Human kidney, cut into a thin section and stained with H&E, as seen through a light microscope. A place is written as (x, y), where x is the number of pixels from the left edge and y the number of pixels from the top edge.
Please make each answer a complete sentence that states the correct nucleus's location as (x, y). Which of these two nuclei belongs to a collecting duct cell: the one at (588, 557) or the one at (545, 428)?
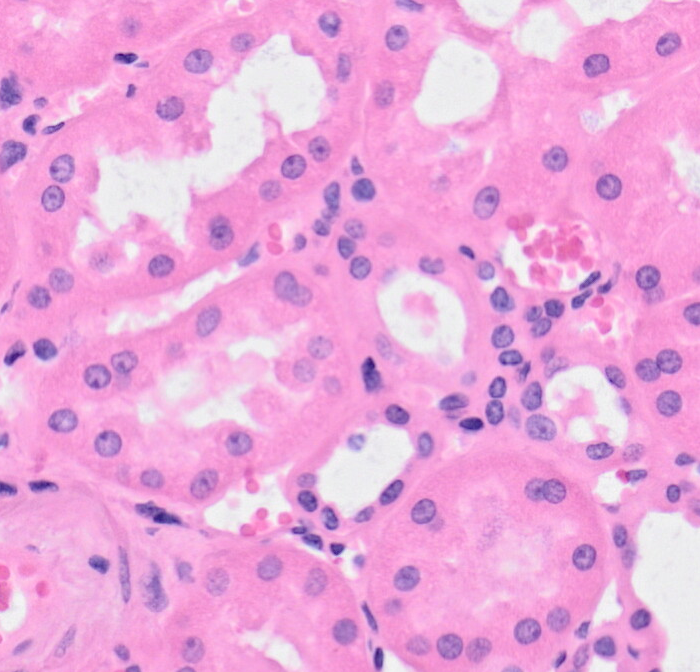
The cell to which the nucleus at (545, 428) belongs is a collecting duct cell.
